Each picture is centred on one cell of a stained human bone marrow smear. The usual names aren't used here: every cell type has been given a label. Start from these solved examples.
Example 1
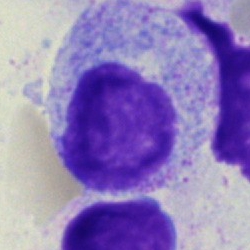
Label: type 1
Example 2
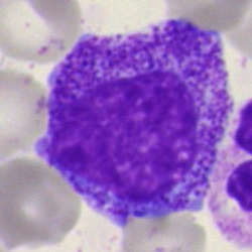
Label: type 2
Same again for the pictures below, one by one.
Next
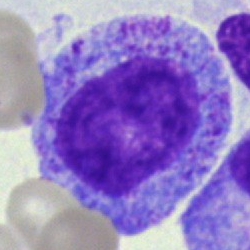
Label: type 2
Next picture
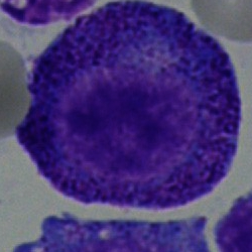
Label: type 2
